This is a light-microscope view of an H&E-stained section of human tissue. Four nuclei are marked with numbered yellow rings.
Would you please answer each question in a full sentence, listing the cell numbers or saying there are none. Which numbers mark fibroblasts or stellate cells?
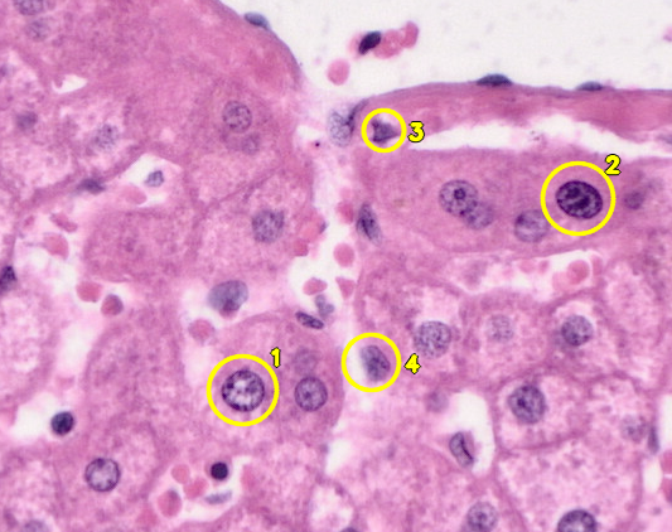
Cell number 3 alone is a fibroblast or stellate cell; the rest are not.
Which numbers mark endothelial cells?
Among the numbered cells, cell 4 alone is an endothelial cell.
